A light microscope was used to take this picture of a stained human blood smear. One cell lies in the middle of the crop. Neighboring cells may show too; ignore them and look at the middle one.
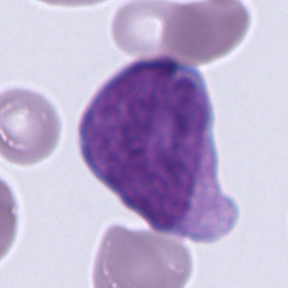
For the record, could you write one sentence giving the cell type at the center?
The center cell of this crop is an atypical promyelocyte.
